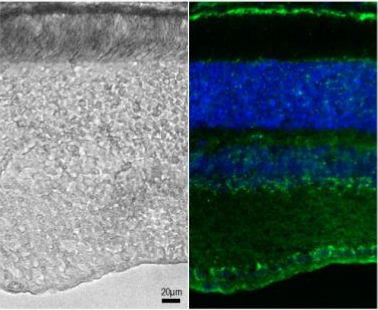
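A cross-section of retina is seen side by side in bright field and in fluorescence, with its layers stacked from the pigmented band at the top to the inner surface at the bottom. Below the dark pigmented band and the striated outer segments lie a thick outer nuclear layer and a thinner inner nuclear layer of blue-stained nuclei.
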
